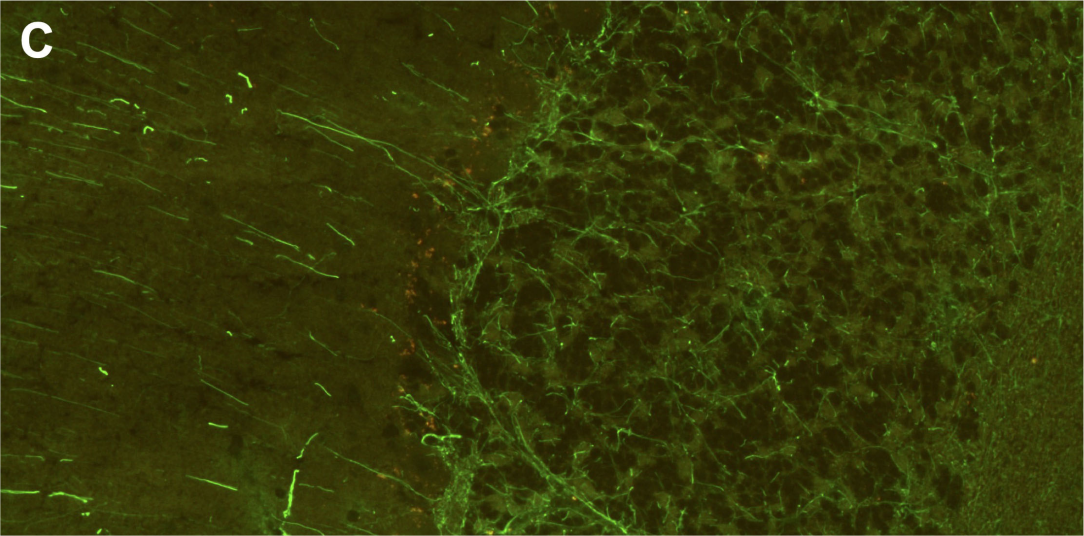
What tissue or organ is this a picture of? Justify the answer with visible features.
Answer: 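Cerebellum. Long, fine, parallel green fibres run across the left part of the section. A dense meshwork of branching green processes fills the middle and right part. Dark rounded spaces lie within the meshwork.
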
